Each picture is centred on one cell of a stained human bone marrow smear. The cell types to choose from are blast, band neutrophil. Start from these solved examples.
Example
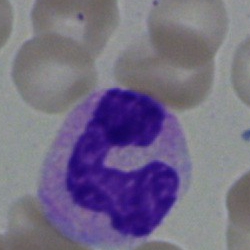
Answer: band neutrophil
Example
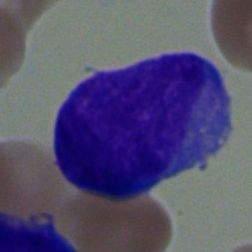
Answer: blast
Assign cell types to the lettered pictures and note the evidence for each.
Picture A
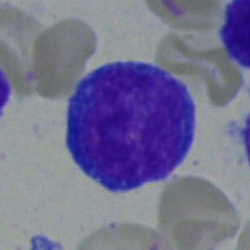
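blast. Reason: The cytoplasm forms only a thin rim around the nucleus.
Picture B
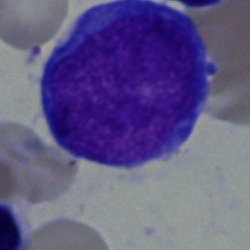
blast. Reason: The cytoplasm is only a thin deep blue rim around the nucleus.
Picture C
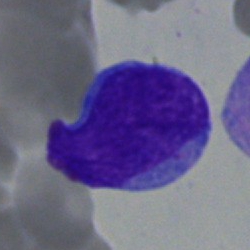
blast. Reason: The nucleus fills most of the cell.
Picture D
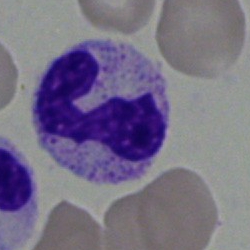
band neutrophil. Reason: The cytoplasm is abundant and pale pinkish-lilac.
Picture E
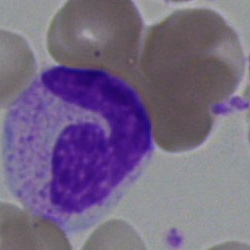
band neutrophil. Reason: Fine purple granules are scattered through the cytoplasm.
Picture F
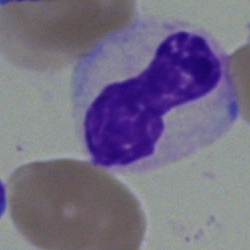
band neutrophil. Reason: The chromatin is dark purple and coarsely clumped, with small pale gaps.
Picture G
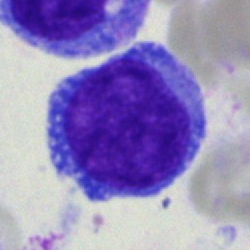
blast. Reason: The chromatin is finely stippled rather than coarsely clumped.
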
